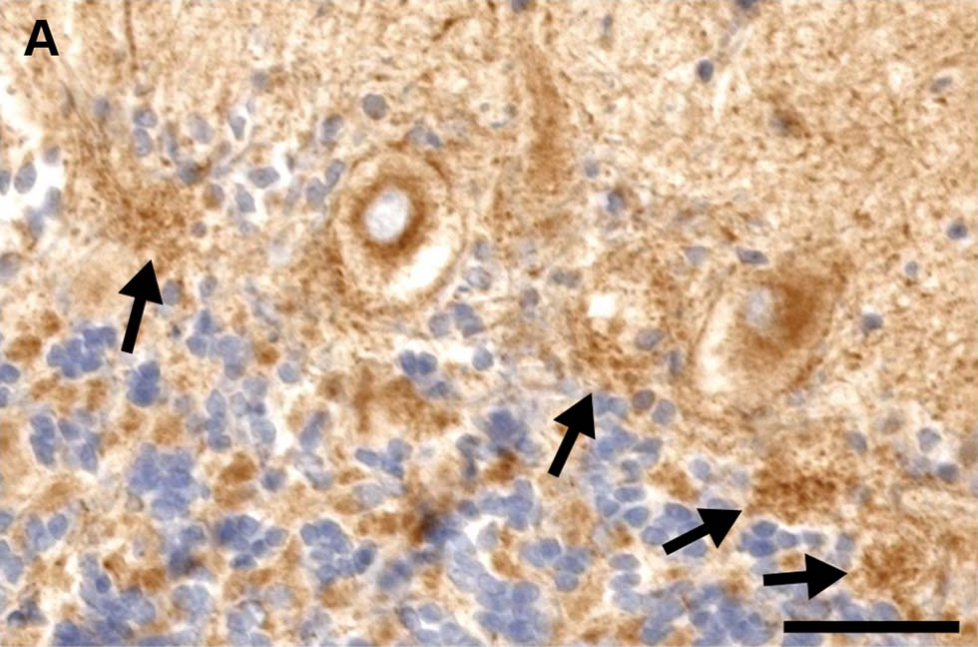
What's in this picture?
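This is cerebellar cortex, with the fibrous molecular layer above, a row of Purkinje cells, and the granular layer of densely packed small blue nuclei below. The molecular layer is diffusely brown and finely fibrillar. At several points along the Purkinje cell row there are dense brown fibrillar tangles with no large cell body inside them, which are basket cell processes left where Purkinje neurons have been lost. Patchy brown staining is also scattered among the granule cell nuclei.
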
